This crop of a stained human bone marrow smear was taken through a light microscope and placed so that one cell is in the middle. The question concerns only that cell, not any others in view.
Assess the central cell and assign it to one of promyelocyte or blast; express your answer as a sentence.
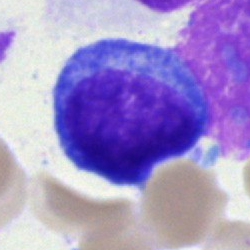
The central cell, amid any neighbouring cells, is a blast.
